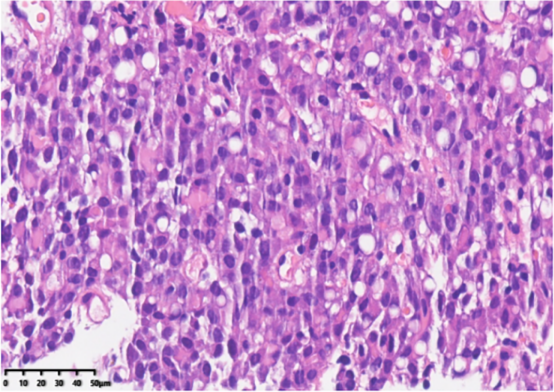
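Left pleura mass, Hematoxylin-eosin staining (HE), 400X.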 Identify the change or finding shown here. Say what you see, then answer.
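Many tumor cells contain clear round vacuoles in their cytoplasm. Other cells have abundant pink cytoplasm.
Conclusion: vacuolated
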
